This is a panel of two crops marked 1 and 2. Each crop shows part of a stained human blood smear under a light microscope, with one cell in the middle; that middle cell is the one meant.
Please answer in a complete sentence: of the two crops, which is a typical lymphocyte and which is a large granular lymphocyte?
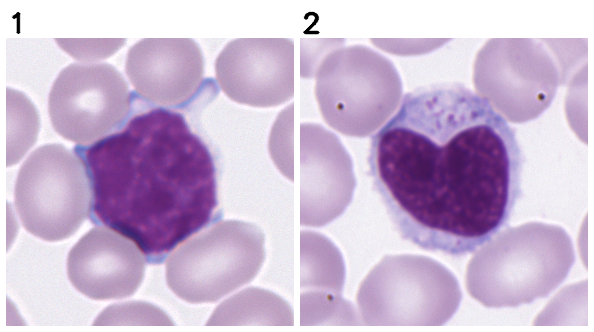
Crop 1 is a typical lymphocyte, whereas a large granular lymphocyte is found in crop 2.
